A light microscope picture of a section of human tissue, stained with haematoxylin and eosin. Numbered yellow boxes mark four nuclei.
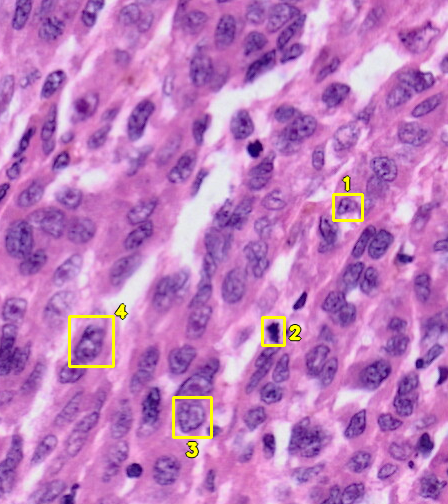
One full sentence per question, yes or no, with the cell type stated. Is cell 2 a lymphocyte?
Yes, in this tissue section, number 2 is a lymphocyte.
